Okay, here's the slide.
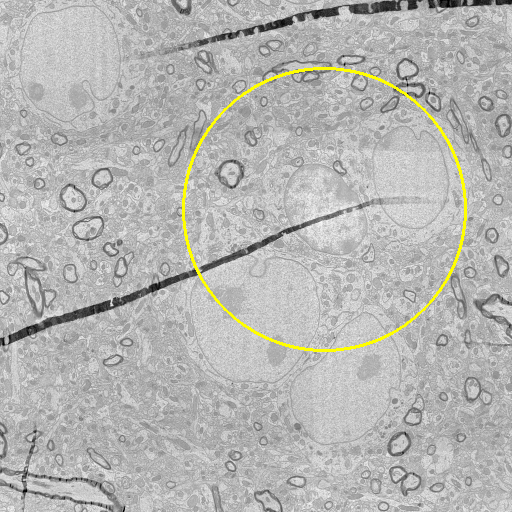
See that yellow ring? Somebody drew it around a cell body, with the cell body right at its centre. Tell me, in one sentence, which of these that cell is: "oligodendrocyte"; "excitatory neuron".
The cell in the middle of the ring is an oligodendrocyte.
